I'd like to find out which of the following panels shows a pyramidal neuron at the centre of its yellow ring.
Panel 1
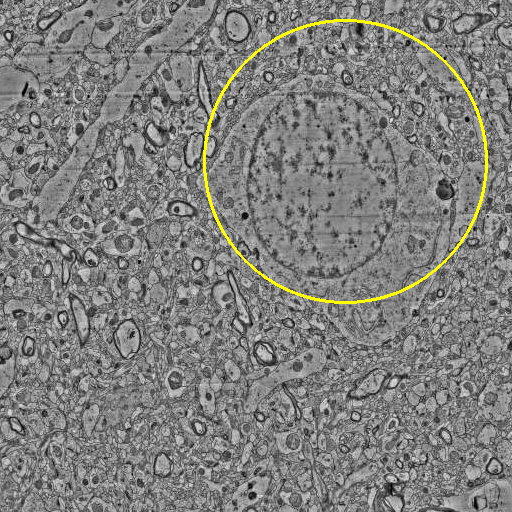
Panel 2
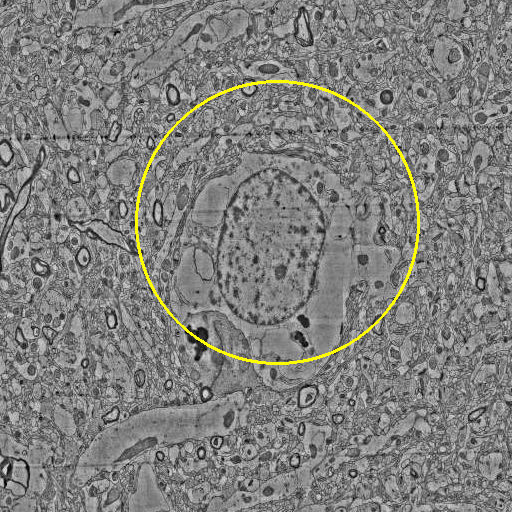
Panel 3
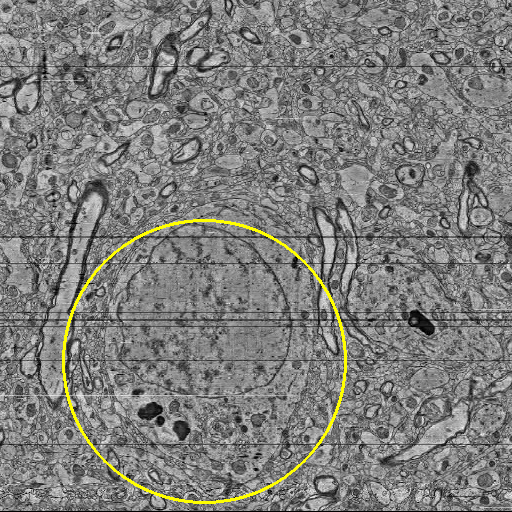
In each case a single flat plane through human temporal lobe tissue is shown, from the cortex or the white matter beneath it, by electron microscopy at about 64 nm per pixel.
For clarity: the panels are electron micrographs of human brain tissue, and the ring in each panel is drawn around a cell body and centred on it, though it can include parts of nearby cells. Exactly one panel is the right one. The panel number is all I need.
3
